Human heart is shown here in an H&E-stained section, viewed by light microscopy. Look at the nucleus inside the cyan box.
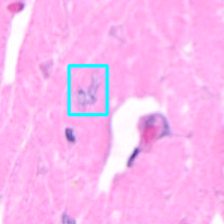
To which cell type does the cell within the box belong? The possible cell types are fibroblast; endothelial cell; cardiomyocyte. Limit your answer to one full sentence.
In short, the cell within the box on this section is a cardiomyocyte.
